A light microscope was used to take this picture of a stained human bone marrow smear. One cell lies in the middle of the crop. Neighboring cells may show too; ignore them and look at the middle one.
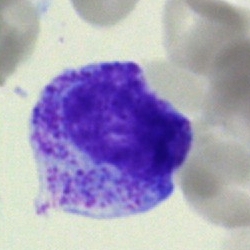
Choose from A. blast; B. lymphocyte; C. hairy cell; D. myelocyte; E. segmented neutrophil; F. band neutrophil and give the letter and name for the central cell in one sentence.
The middle of the crop contains a myelocyte, so option D is right.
